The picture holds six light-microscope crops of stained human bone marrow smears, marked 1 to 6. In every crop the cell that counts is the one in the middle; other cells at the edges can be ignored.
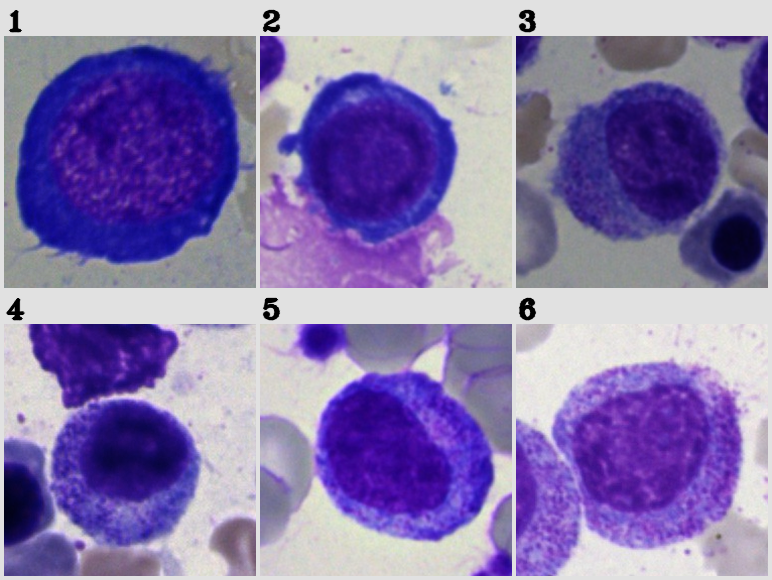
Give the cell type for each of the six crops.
1: proerythroblast
2: proerythroblast
3: promyelocyte
4: myelocyte
5: promyelocyte
6: promyelocyte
